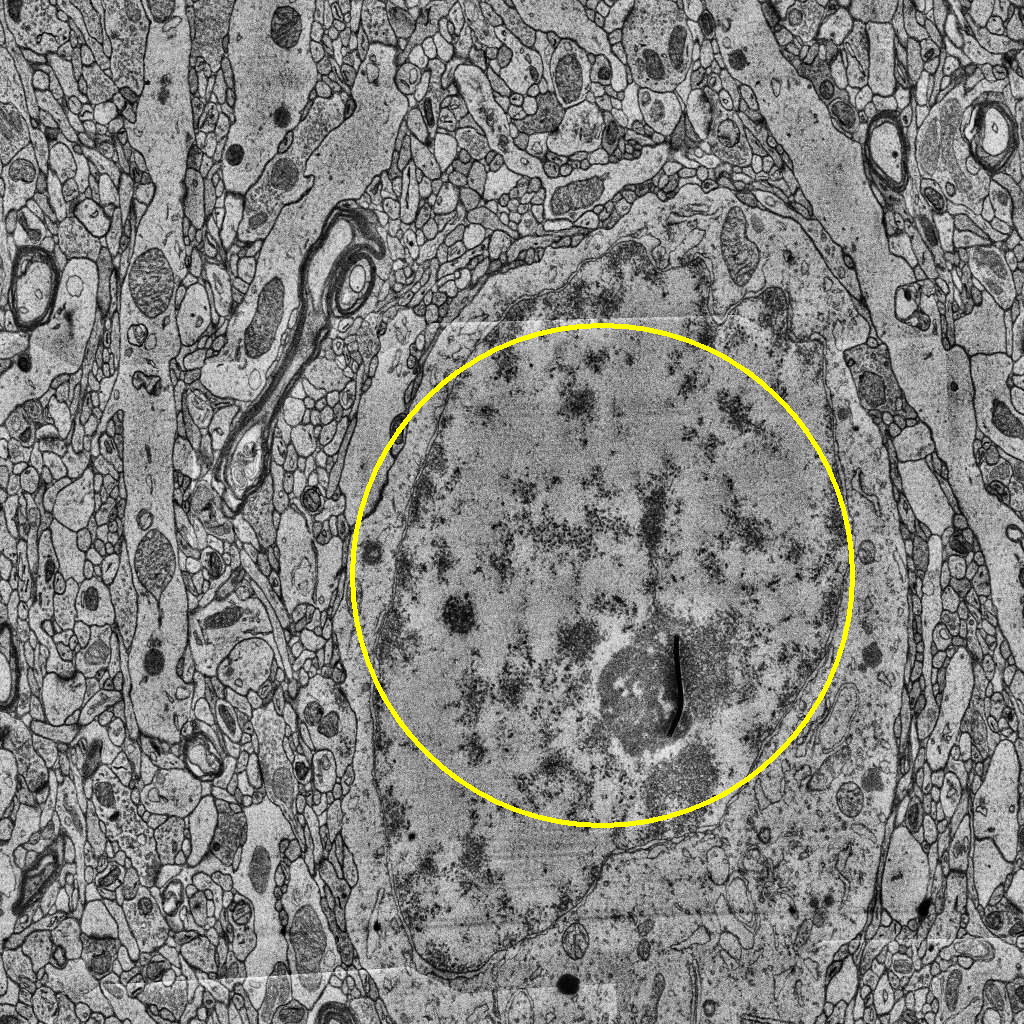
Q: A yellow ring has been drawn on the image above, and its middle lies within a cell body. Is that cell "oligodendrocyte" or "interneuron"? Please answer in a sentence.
The ring's middle lies in the cell body of an interneuron.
